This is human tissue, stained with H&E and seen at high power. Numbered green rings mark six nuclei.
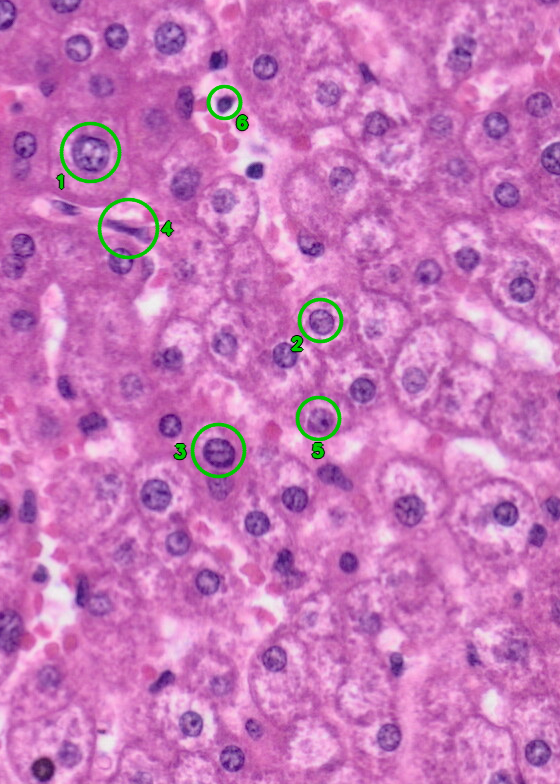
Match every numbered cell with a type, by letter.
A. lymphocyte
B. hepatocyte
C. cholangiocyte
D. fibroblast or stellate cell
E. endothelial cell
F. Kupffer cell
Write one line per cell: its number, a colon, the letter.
1: B
2: B
3: B
4: F
5: B
6: A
